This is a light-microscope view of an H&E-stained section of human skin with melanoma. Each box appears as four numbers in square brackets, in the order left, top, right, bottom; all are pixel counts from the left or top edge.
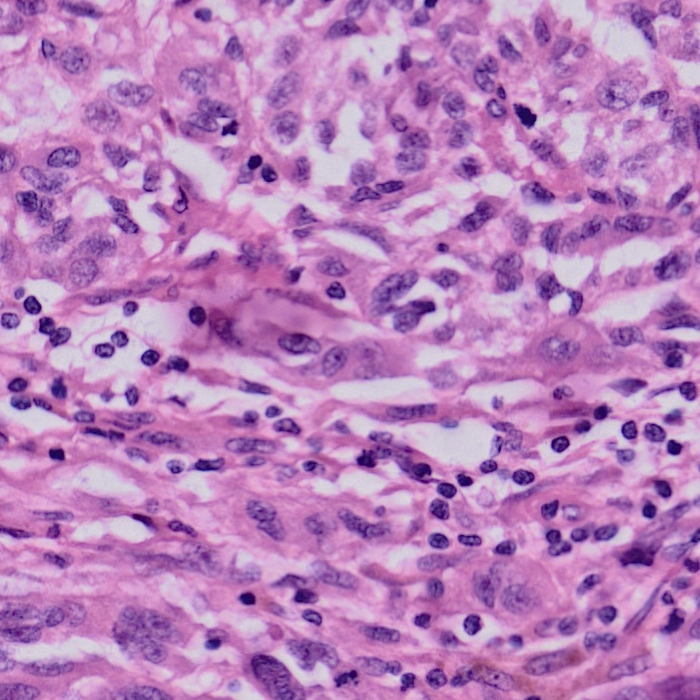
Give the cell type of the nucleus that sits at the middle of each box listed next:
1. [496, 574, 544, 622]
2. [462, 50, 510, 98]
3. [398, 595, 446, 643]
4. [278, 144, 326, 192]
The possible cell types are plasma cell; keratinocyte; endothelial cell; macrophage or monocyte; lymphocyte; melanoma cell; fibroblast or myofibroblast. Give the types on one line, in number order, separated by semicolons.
melanoma cell; melanoma cell; lymphocyte; melanoma cell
